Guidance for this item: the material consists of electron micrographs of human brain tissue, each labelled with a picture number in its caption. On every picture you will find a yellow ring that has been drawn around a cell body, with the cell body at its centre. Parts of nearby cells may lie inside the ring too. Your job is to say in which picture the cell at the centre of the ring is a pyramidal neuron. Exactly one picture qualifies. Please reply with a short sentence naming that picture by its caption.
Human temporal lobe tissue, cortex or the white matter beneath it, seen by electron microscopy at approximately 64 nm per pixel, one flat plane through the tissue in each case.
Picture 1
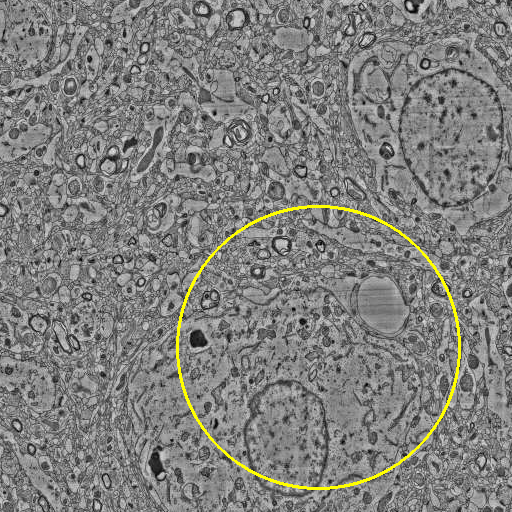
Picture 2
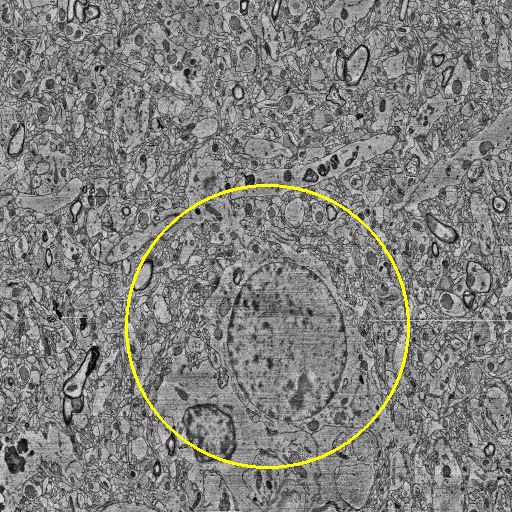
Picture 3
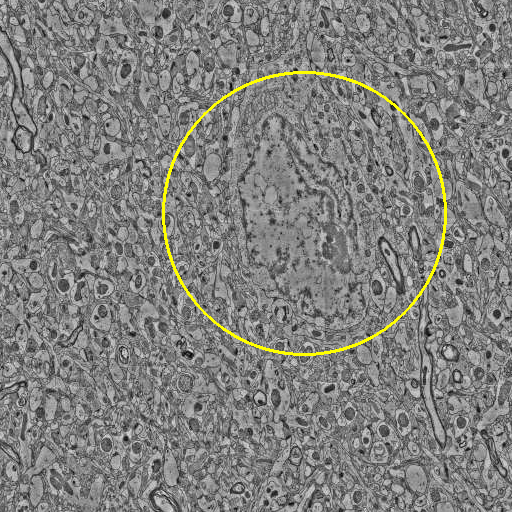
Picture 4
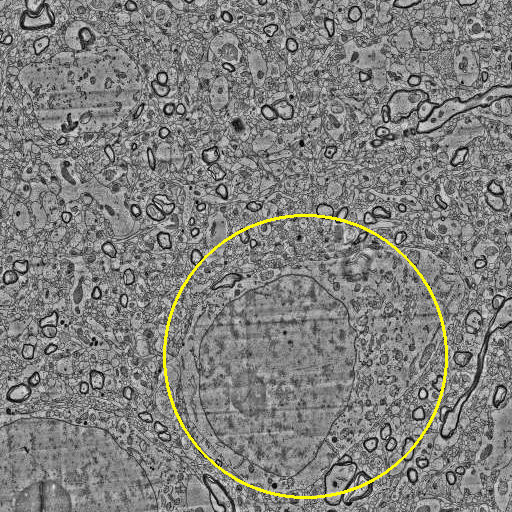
Picture 4 shows it at the centre of the ring.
